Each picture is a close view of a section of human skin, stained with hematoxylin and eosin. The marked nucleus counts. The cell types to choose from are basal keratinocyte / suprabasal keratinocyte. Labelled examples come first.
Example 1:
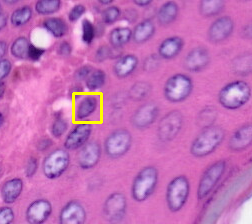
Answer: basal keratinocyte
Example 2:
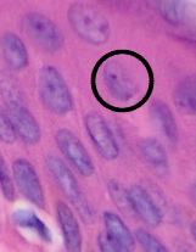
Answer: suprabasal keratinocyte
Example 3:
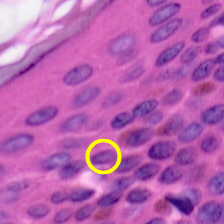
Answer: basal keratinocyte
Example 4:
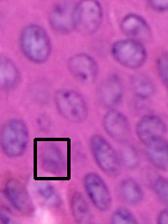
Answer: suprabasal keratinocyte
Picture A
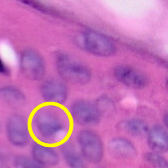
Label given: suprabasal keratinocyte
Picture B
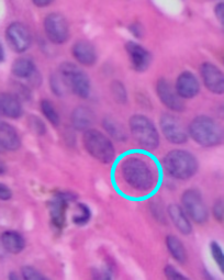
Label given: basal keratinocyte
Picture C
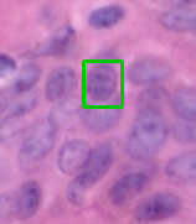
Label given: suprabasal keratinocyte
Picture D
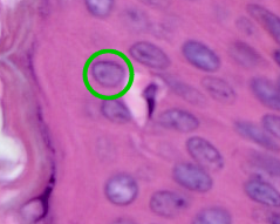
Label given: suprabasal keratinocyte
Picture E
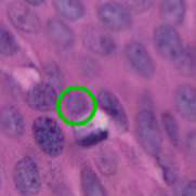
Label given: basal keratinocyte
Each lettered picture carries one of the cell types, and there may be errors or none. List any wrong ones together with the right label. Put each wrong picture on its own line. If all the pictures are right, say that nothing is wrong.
C should be basal keratinocyte, not suprabasal keratinocyte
